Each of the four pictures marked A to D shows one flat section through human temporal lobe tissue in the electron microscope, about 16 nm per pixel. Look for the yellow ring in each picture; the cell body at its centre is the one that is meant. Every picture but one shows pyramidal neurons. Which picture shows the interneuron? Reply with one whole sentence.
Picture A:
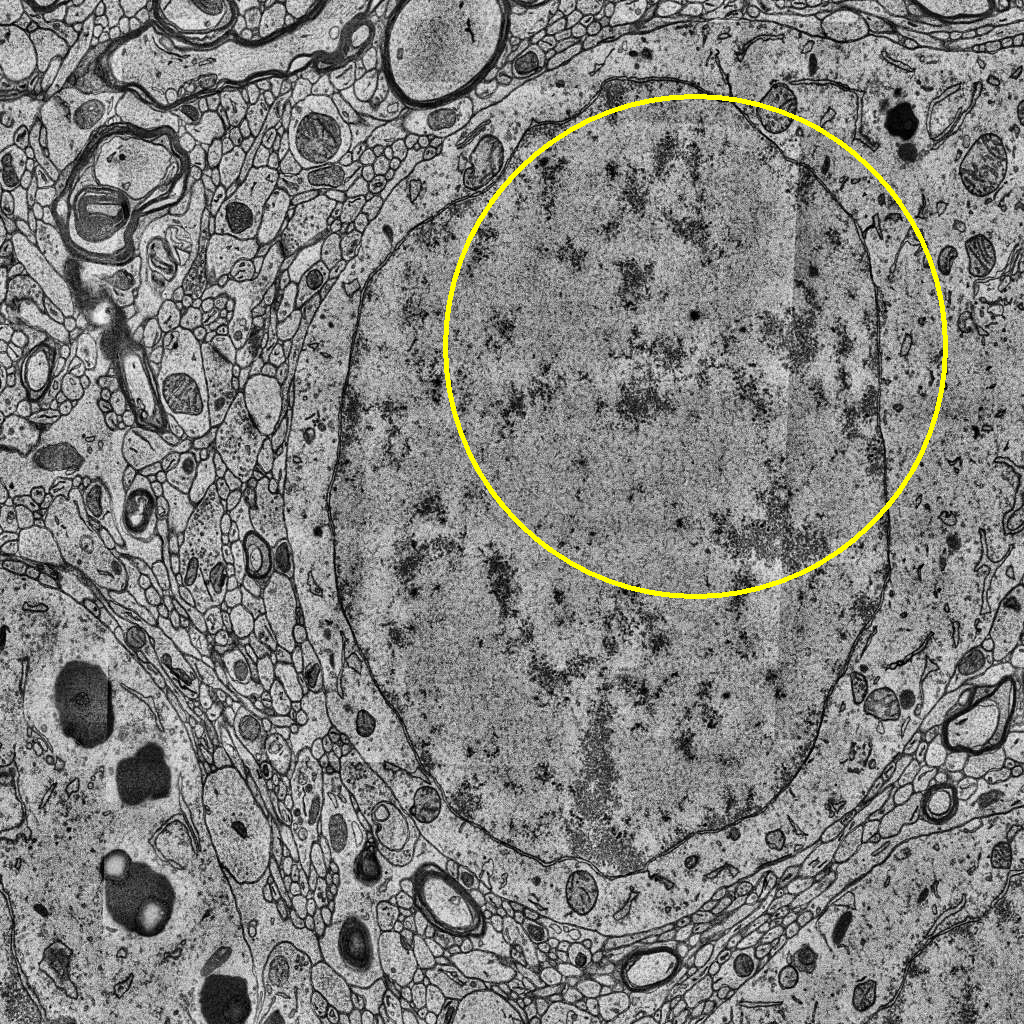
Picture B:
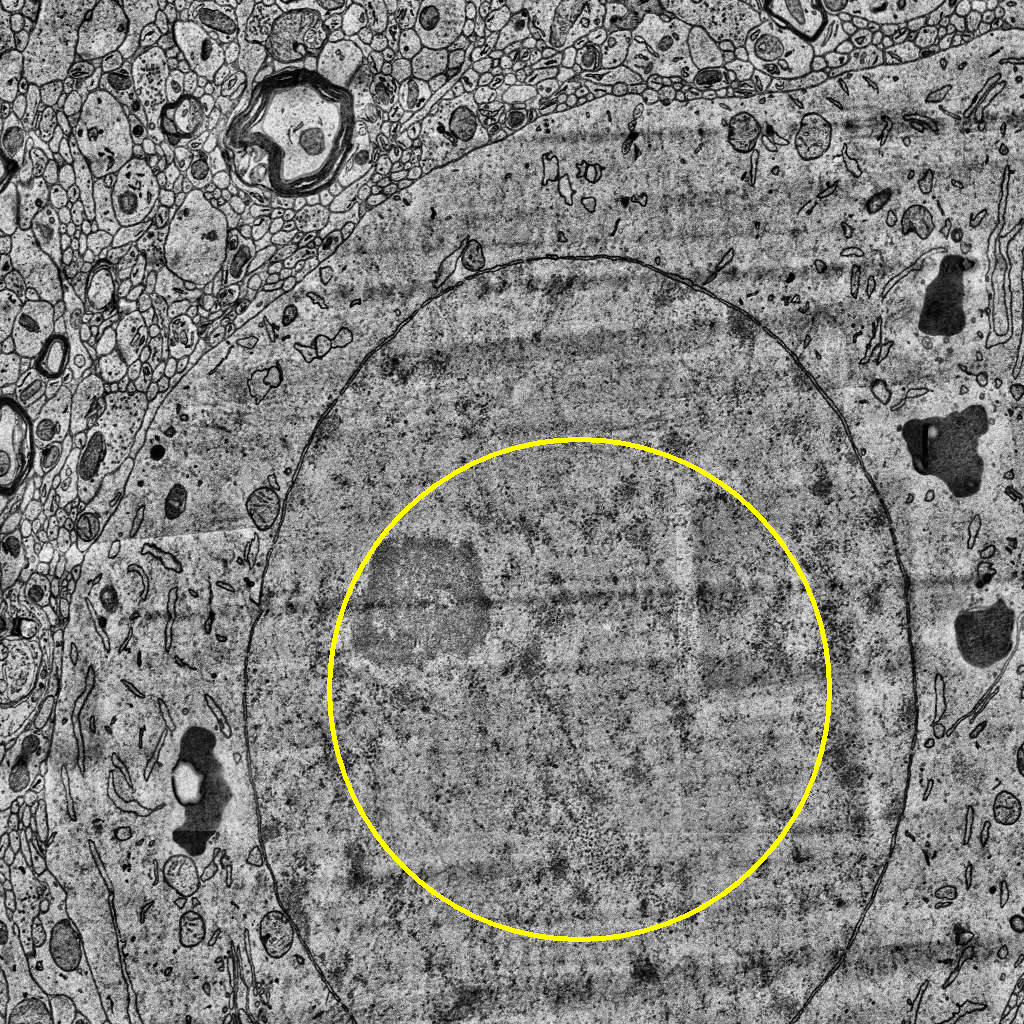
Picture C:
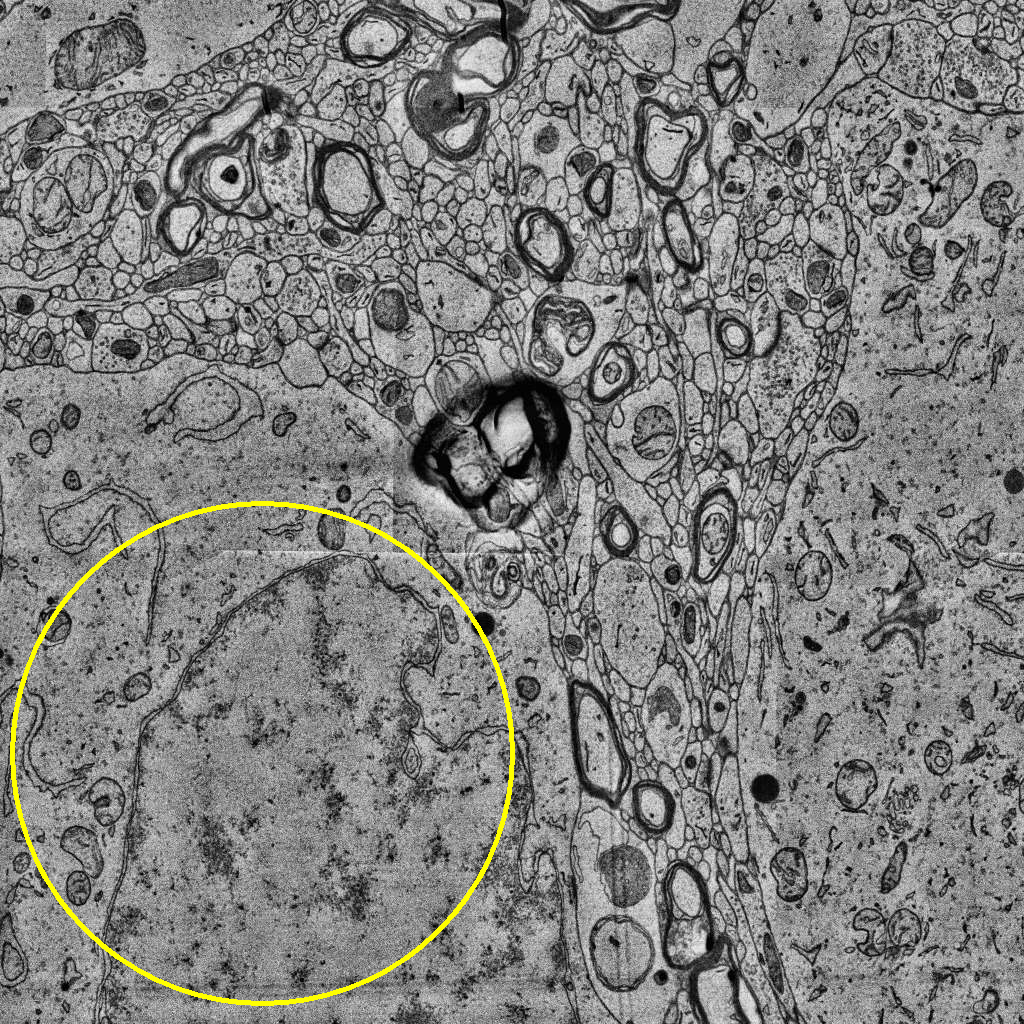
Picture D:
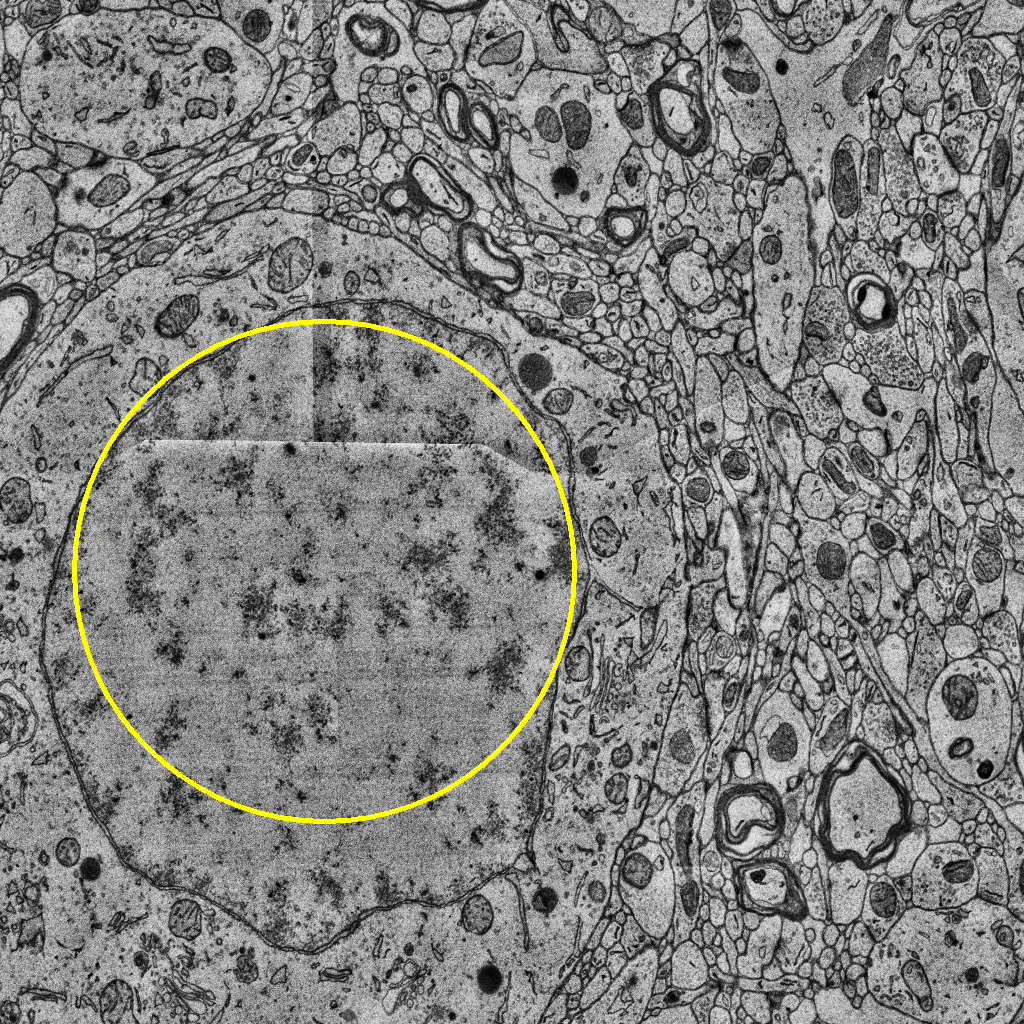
Picture C is the one that shows the interneuron.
